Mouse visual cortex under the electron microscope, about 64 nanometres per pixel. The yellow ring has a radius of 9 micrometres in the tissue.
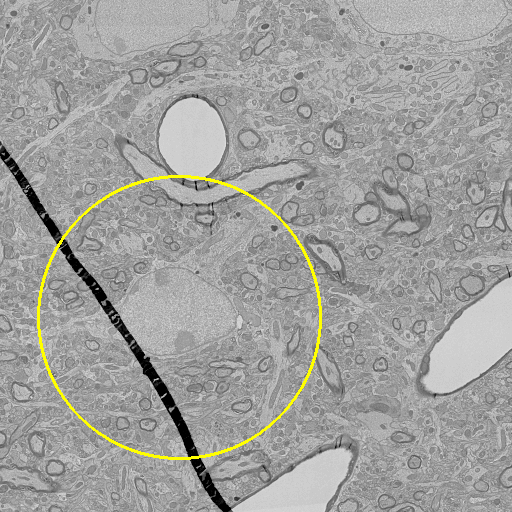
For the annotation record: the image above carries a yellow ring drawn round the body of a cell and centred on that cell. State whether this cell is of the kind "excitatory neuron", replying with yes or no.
No, this cell is of another kind.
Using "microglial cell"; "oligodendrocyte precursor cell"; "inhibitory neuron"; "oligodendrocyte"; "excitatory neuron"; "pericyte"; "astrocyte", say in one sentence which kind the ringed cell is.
Sitting at the ring centre is an astrocyte.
